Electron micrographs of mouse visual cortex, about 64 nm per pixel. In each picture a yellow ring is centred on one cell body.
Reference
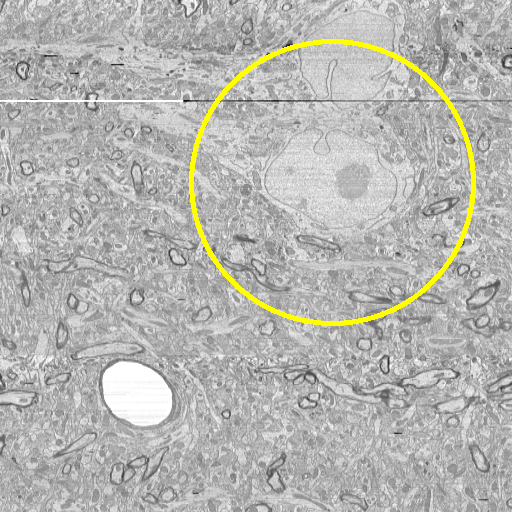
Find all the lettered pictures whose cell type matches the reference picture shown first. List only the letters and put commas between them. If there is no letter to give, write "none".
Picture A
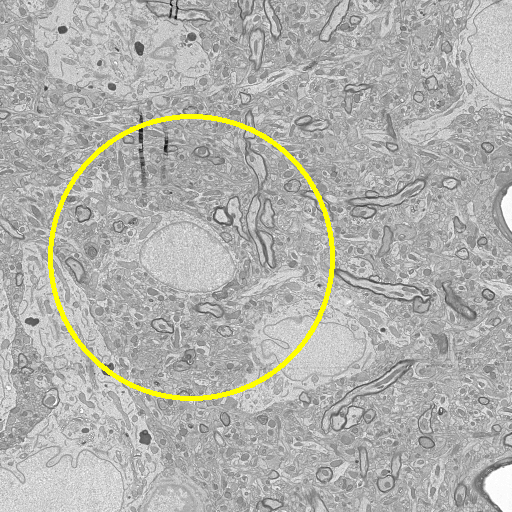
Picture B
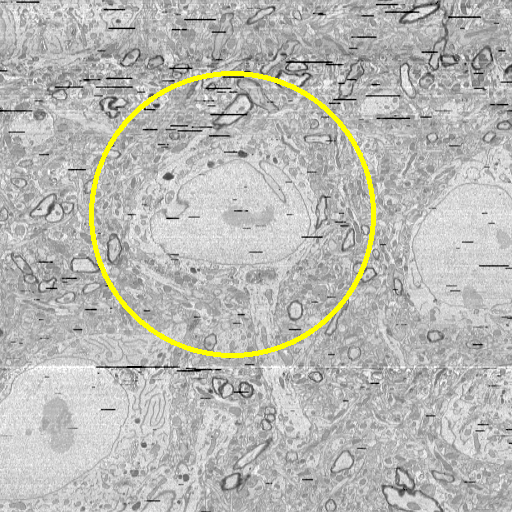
B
